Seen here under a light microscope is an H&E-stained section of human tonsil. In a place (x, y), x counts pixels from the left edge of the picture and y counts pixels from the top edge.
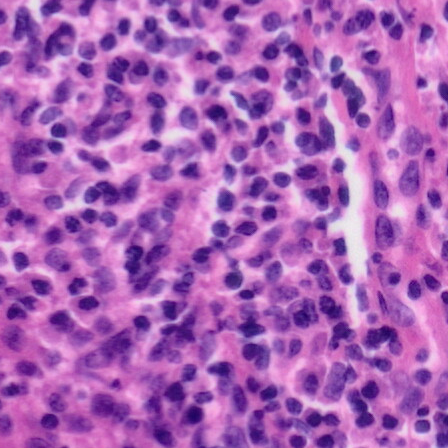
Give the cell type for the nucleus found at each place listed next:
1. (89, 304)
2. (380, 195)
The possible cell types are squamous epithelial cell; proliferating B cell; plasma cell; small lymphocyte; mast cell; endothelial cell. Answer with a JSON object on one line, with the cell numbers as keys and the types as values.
{"1": "plasma cell", "2": "endothelial cell"}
